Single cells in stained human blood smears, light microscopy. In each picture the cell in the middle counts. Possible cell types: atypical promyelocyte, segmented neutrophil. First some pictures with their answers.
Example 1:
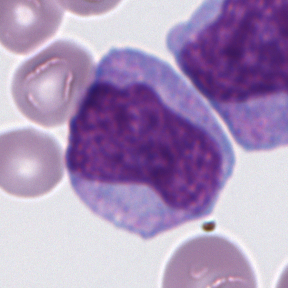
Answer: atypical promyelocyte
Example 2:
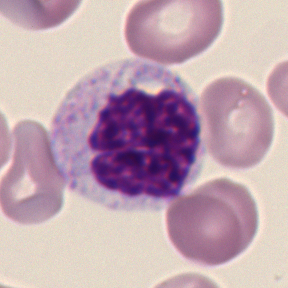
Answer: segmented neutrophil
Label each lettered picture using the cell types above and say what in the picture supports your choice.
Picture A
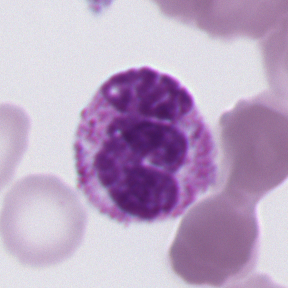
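segmented neutrophil: The nucleus is divided into several lobes.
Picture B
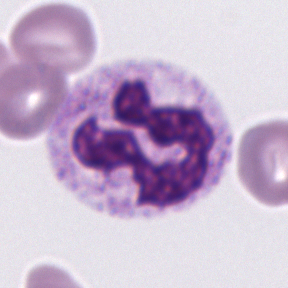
segmented neutrophil: The nucleus is one continuous band twisted into an S-like shape.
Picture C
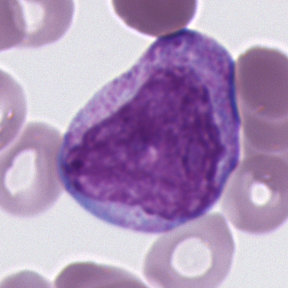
atypical promyelocyte: The nucleus is a single unlobed mass that fills most of the cell.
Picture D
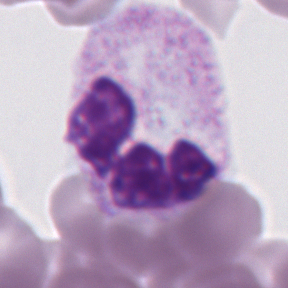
segmented neutrophil: The cytoplasm is abundant and pale pinkish-lilac.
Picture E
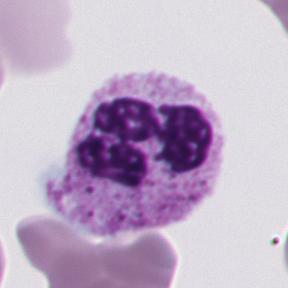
segmented neutrophil: The nucleus is divided into three separate lobes.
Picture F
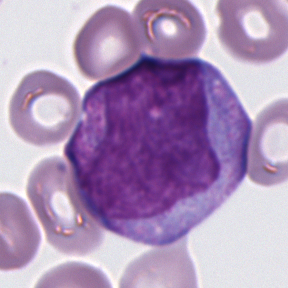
atypical promyelocyte: The nucleus is large, fills most of the cell, and sits toward the upper left.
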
